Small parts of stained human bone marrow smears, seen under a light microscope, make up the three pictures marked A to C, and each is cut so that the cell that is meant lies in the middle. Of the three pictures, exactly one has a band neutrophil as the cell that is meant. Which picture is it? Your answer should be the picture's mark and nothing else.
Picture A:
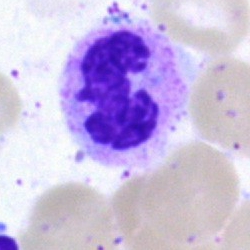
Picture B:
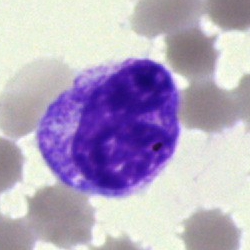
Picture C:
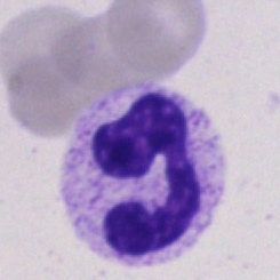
B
